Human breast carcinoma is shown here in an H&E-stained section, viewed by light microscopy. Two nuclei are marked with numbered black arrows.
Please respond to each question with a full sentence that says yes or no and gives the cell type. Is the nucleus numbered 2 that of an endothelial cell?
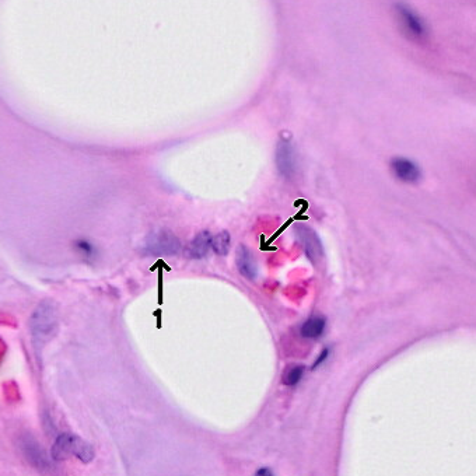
Yes, that is right: the cell labelled 2 is an endothelial cell.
